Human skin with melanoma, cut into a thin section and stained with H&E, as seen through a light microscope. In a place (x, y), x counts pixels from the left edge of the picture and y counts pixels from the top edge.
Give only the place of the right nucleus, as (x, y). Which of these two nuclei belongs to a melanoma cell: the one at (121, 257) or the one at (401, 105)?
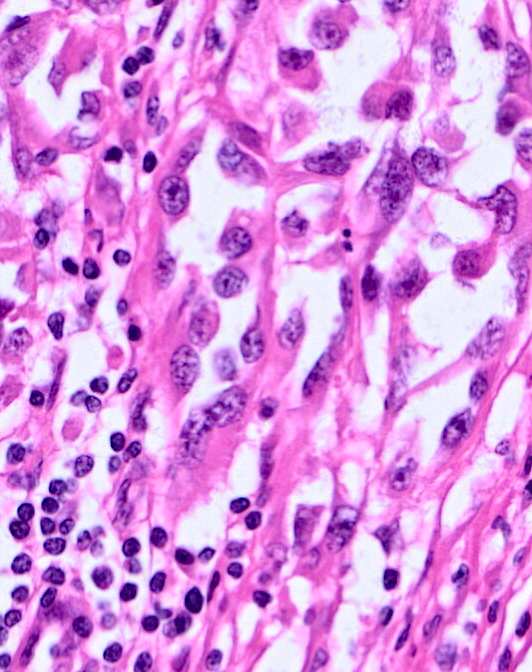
(401, 105)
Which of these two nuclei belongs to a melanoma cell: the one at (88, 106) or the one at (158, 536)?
(88, 106)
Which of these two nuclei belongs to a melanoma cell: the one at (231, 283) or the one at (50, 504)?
(231, 283)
